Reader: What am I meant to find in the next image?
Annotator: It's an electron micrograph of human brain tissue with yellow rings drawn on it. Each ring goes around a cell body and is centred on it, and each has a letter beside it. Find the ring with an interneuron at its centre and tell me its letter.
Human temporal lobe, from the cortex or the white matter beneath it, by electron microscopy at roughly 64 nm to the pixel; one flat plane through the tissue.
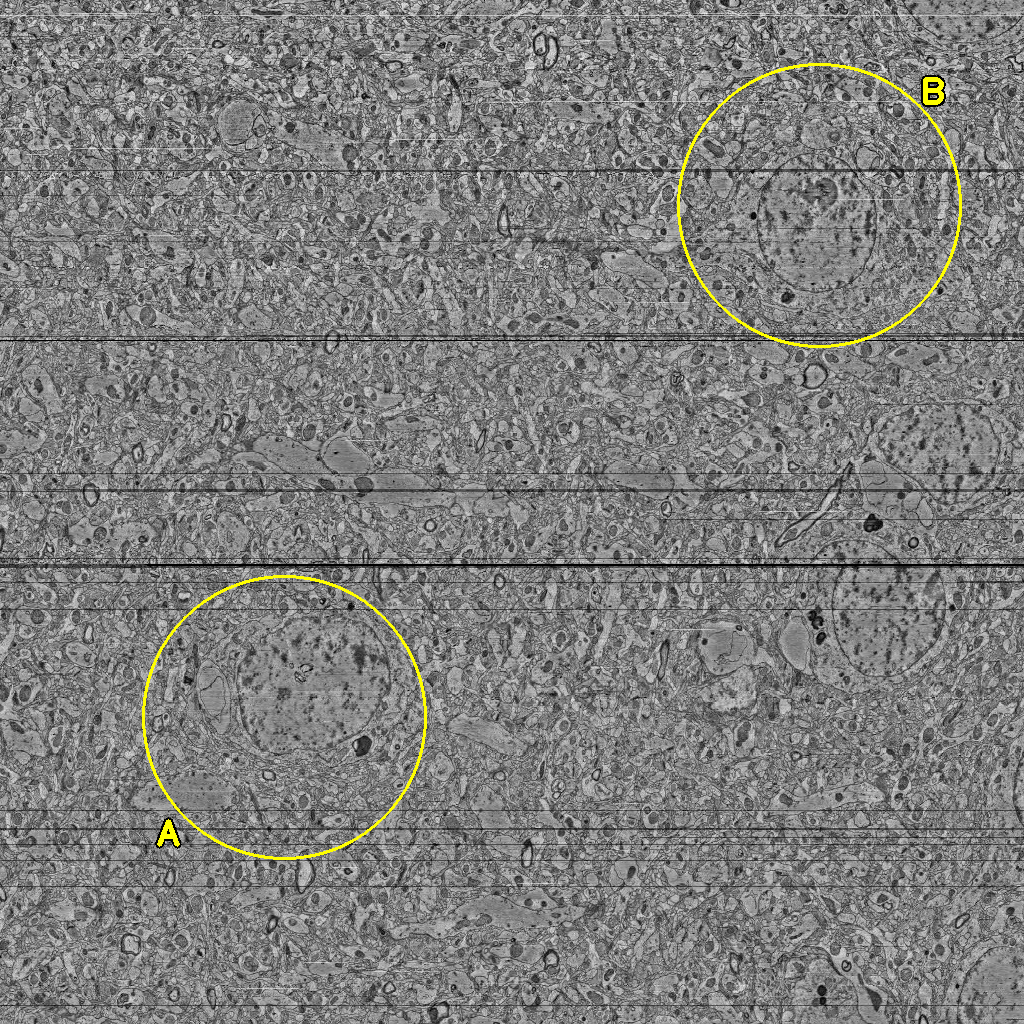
A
